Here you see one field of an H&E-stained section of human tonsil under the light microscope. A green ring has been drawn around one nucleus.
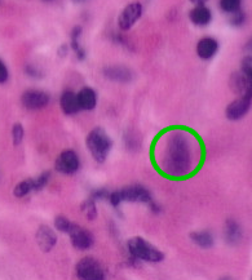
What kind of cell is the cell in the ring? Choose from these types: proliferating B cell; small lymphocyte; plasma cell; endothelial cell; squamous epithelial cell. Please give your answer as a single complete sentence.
It is as an endothelial cell that the cell in the ring is classified.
